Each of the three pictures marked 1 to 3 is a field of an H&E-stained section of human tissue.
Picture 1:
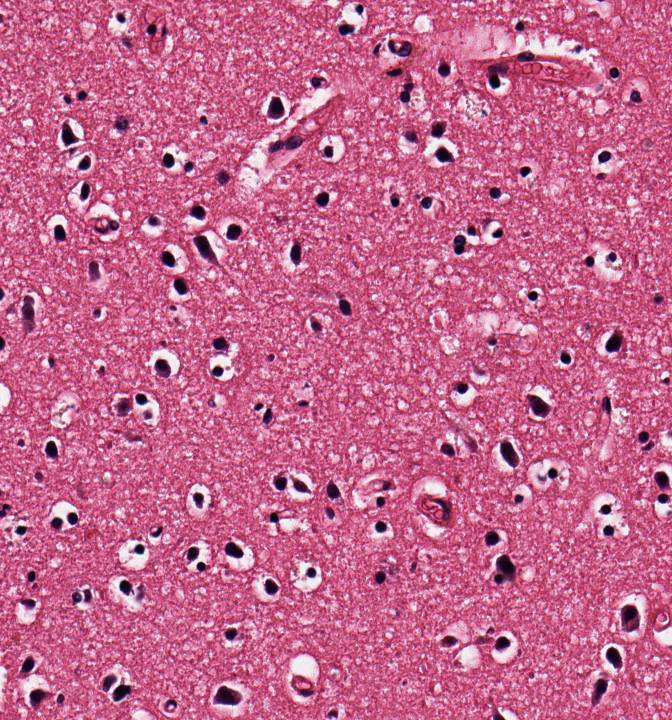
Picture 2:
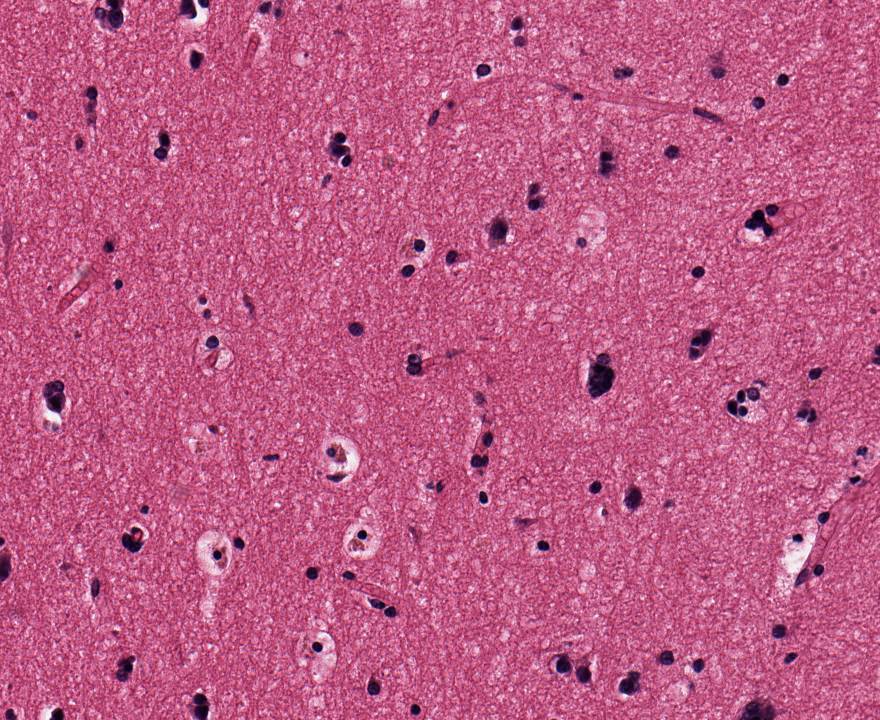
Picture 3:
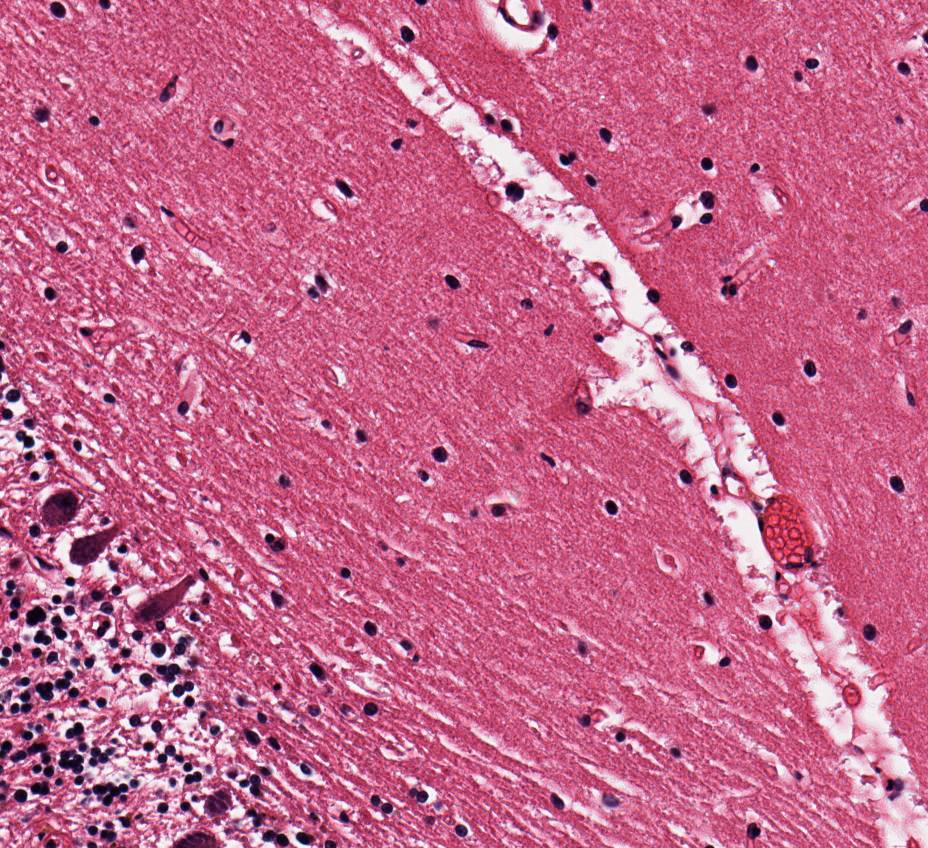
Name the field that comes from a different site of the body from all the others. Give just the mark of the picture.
3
